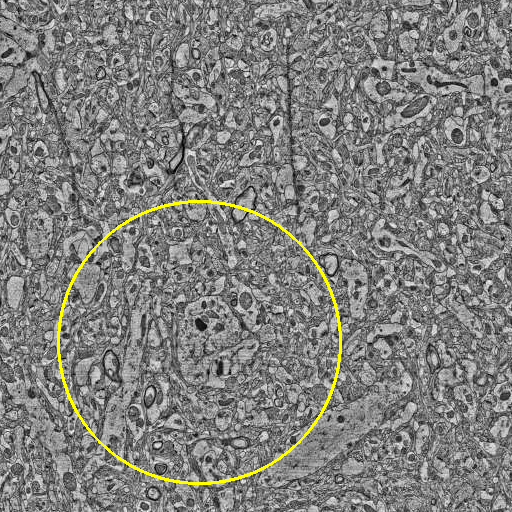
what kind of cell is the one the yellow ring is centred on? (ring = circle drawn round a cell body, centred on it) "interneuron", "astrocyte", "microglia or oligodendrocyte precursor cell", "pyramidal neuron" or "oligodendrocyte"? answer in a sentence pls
The ring is drawn around an interneuron.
